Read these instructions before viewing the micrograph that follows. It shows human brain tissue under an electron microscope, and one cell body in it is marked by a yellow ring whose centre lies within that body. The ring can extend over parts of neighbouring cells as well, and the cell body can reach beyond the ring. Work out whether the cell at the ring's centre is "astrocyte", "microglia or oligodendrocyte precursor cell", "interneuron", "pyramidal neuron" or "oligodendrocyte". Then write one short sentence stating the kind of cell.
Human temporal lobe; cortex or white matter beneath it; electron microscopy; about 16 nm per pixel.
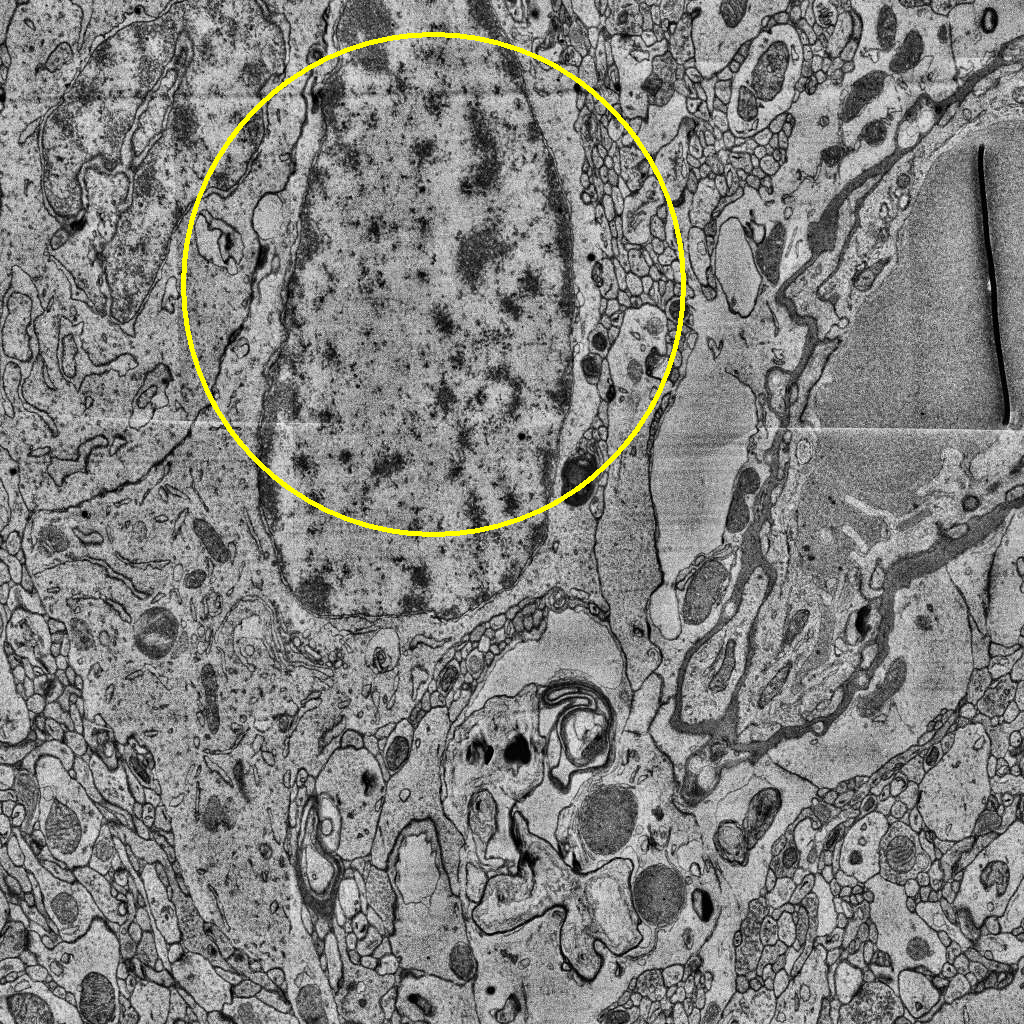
The cell at the ring's centre is a microglial cell or oligodendrocyte precursor cell.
